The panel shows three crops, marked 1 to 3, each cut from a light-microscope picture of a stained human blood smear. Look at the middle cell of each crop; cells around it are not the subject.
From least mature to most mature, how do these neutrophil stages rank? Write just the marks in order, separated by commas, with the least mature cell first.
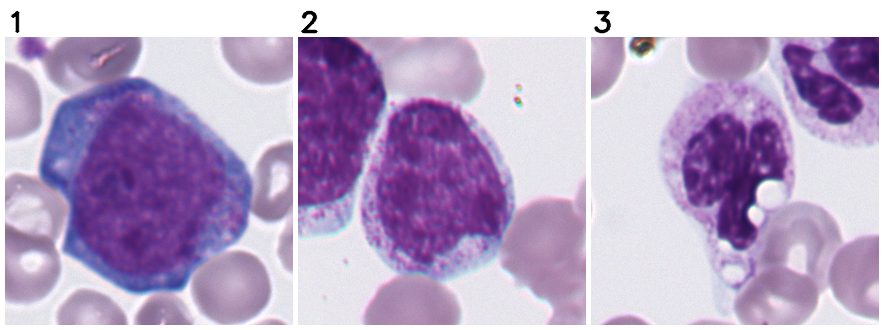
1, 2, 3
